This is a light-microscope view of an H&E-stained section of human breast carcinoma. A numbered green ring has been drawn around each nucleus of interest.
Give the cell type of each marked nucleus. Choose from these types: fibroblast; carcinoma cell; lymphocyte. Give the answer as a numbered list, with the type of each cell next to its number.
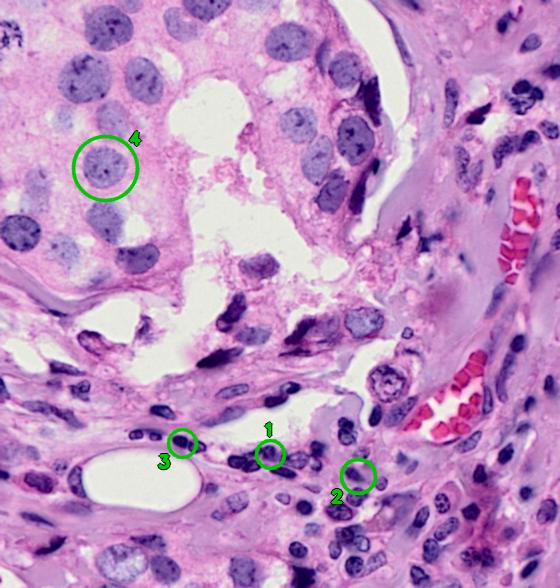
1. lymphocyte
2. lymphocyte
3. lymphocyte
4. carcinoma cell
